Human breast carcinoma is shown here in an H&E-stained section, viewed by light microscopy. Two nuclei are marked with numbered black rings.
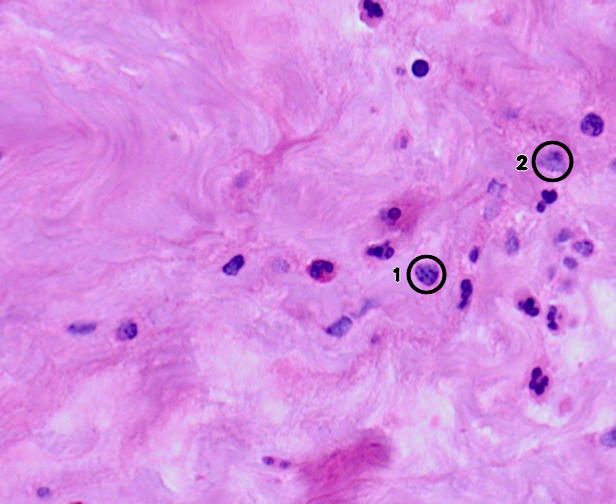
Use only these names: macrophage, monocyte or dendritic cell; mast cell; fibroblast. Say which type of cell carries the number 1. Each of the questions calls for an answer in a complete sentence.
The cell referred to as 1 is a mast cell.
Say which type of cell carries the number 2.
Looking at the numbered marks, cell 2 is a fibroblast.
